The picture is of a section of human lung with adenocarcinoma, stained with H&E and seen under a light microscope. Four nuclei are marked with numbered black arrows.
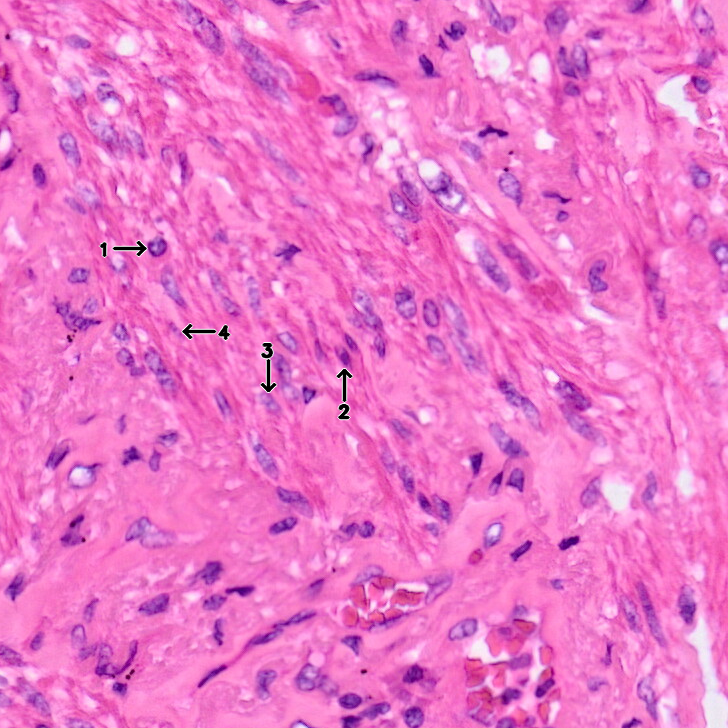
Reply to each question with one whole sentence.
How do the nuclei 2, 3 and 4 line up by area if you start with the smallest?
The order from the smallest nucleus to the largest is 4, 2, 3.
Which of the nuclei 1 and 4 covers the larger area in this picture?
Nucleus 1 is larger, with an area about 3 times that of nucleus 4.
